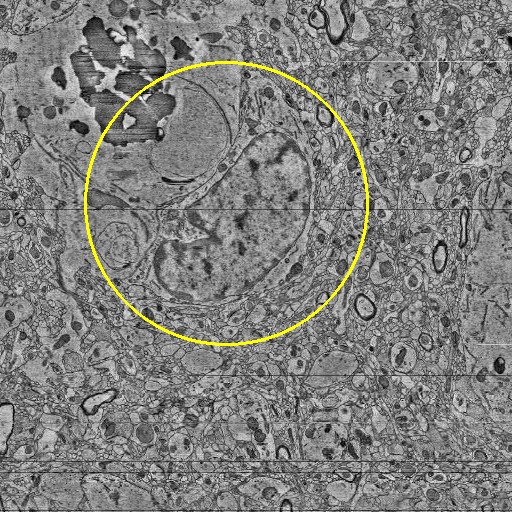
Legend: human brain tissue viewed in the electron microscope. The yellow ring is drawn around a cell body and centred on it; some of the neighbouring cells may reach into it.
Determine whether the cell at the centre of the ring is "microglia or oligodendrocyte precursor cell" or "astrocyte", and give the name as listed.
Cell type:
microglia or oligodendrocyte precursor cell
